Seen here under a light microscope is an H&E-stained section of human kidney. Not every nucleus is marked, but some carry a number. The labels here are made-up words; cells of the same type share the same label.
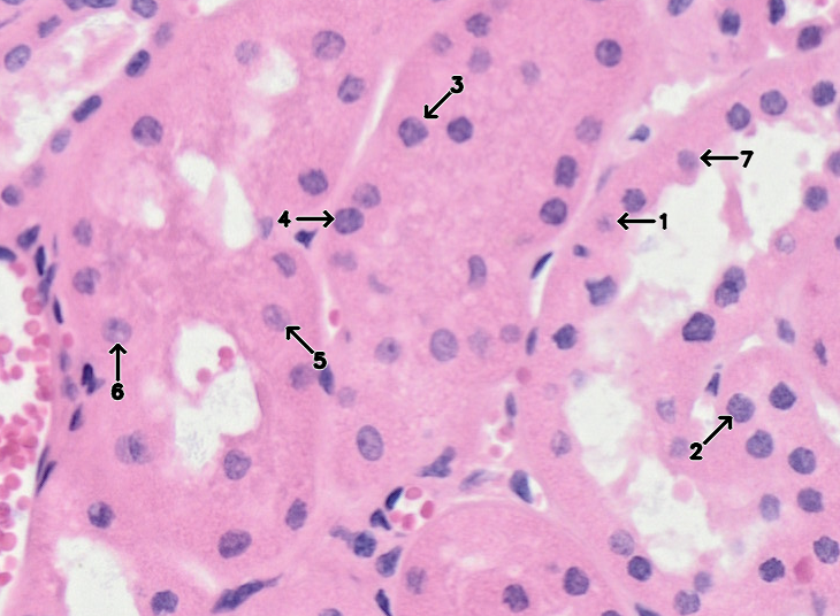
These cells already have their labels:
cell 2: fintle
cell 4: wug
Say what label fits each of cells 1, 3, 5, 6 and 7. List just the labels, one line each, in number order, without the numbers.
fintle
wug
wug
wug
fintle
